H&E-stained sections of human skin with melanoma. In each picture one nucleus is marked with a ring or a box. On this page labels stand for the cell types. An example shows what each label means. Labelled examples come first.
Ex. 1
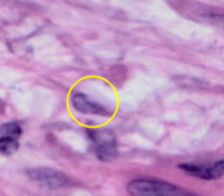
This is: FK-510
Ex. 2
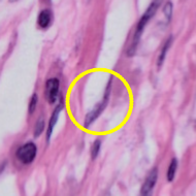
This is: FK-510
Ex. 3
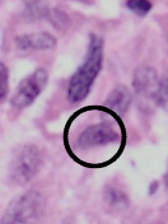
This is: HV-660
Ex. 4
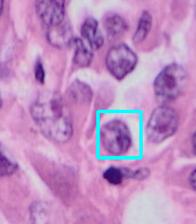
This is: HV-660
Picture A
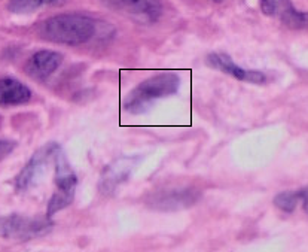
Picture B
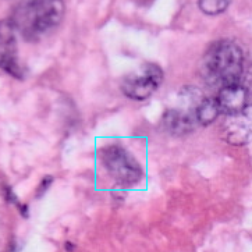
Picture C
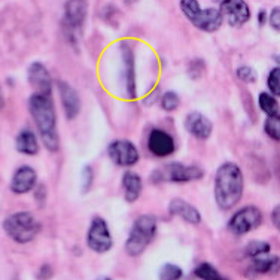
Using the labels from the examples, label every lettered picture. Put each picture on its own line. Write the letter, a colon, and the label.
A: FK-510
B: HV-660
C: FK-510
